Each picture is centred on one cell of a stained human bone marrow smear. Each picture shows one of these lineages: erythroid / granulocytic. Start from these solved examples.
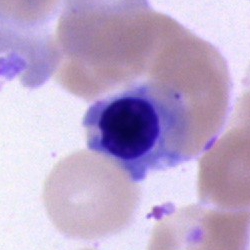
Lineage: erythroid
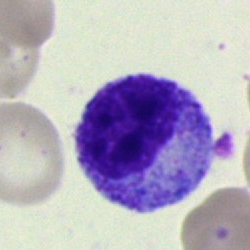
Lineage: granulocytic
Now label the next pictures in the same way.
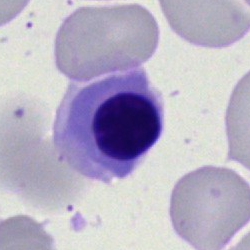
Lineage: erythroid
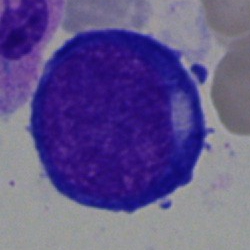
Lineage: erythroid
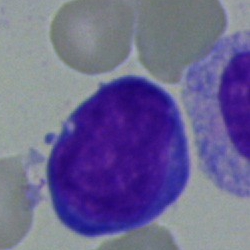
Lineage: erythroid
